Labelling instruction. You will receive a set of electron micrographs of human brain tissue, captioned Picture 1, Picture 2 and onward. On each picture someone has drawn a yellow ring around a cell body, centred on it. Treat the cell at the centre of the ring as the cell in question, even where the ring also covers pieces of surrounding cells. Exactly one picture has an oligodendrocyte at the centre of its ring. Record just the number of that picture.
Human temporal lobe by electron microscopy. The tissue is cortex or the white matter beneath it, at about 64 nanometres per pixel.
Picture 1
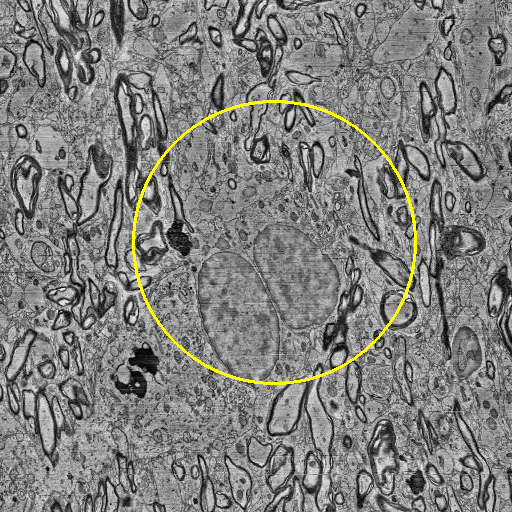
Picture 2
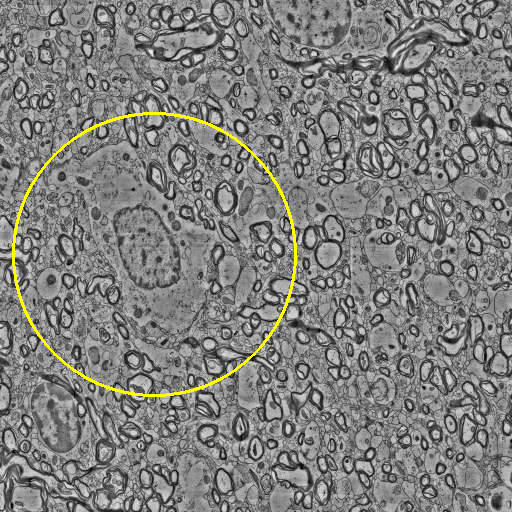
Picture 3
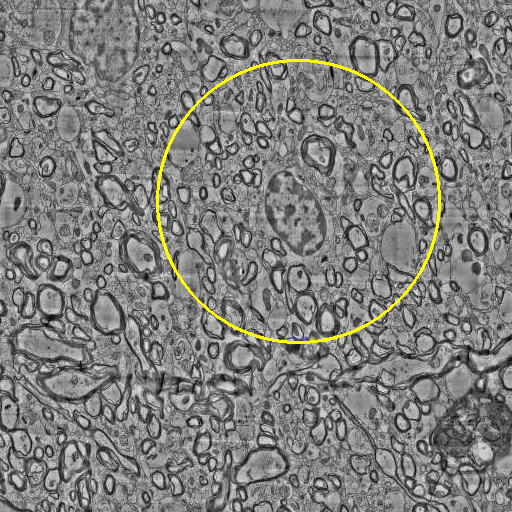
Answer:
1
